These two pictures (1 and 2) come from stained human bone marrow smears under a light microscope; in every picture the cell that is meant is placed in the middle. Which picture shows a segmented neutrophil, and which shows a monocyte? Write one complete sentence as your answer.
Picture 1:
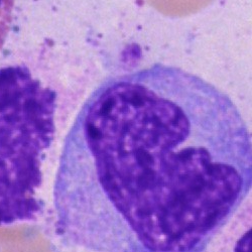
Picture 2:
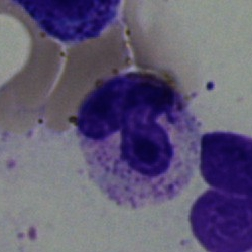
Picture 1 is of a monocyte, and picture 2 is of a segmented neutrophil.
